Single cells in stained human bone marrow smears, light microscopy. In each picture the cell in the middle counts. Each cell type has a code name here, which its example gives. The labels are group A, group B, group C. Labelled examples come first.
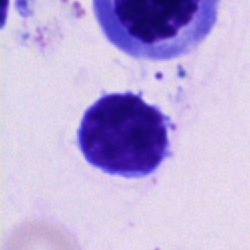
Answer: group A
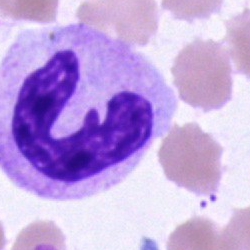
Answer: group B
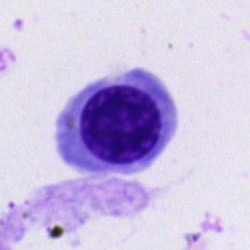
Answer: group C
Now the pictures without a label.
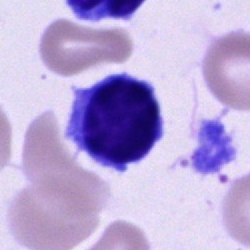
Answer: group A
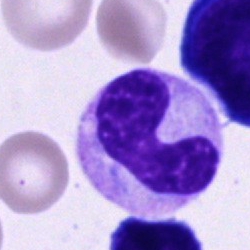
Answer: group B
